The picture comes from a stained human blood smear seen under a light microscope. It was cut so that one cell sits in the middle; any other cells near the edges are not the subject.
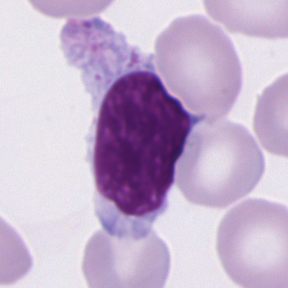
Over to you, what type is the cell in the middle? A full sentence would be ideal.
The cell of interest, in the center, is a large granular lymphocyte.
